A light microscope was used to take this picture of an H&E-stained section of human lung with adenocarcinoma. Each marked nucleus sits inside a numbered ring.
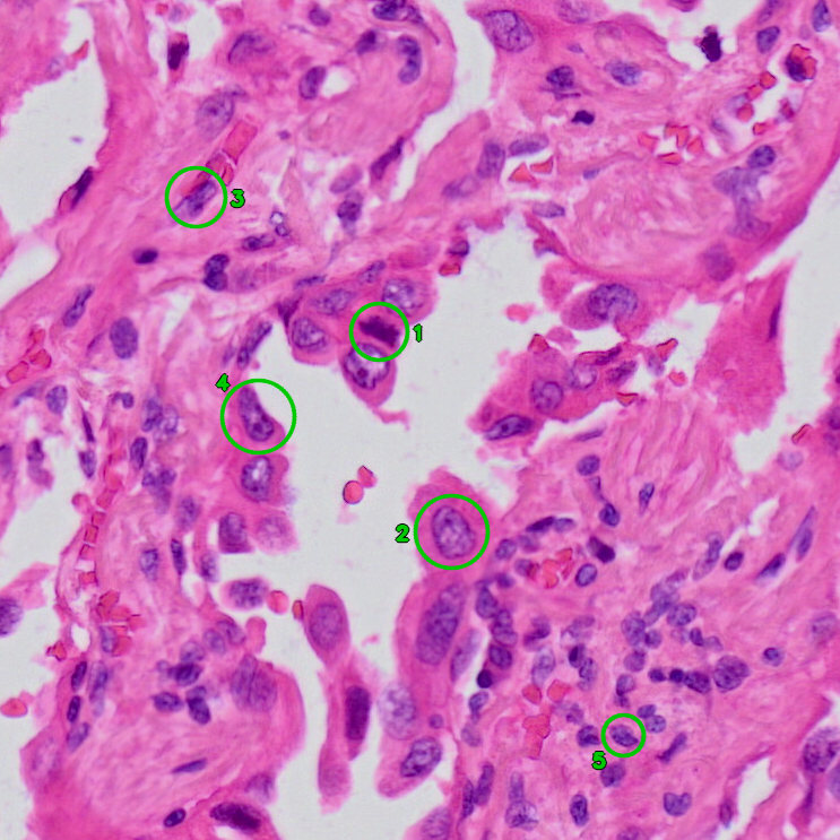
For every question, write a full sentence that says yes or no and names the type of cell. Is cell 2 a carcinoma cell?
Yes, the cell whose number is 2 is a carcinoma cell.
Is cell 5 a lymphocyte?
Yes, the cell that bears number 5 is a lymphocyte.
